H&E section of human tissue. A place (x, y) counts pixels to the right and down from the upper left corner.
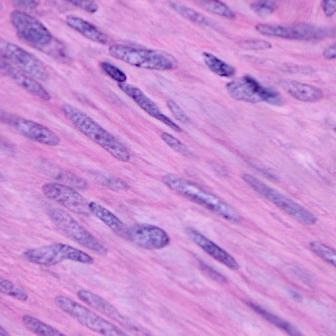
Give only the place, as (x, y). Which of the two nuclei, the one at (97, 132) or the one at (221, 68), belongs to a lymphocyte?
(221, 68)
